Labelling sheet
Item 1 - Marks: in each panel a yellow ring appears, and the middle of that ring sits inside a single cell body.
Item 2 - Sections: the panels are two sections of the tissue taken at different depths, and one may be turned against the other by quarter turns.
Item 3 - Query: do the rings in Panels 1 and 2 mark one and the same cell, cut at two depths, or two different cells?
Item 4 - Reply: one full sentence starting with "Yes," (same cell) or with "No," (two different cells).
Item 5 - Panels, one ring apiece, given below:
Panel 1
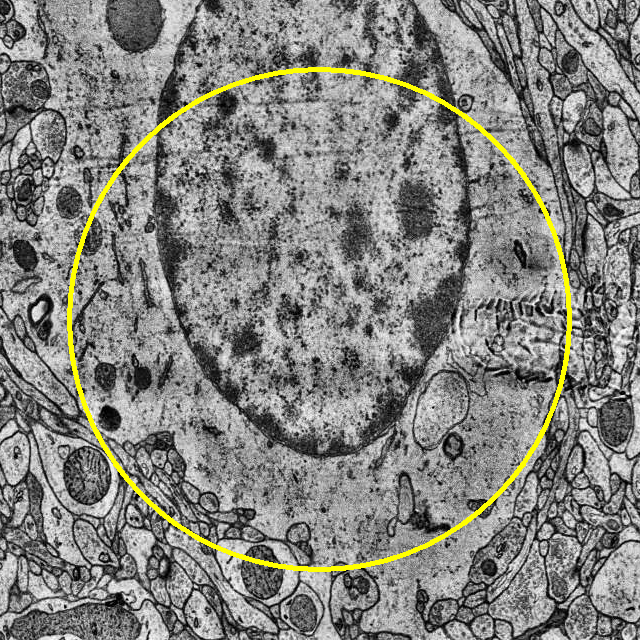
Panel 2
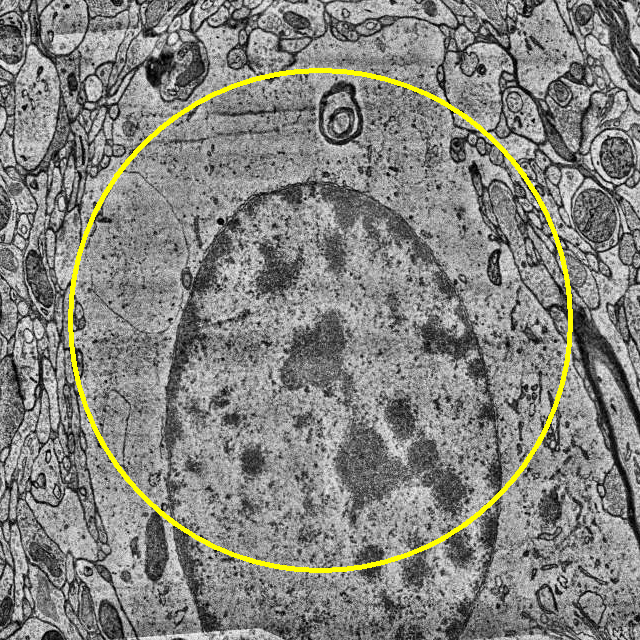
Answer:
Yes, the rings do not mark different cells but one cell.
